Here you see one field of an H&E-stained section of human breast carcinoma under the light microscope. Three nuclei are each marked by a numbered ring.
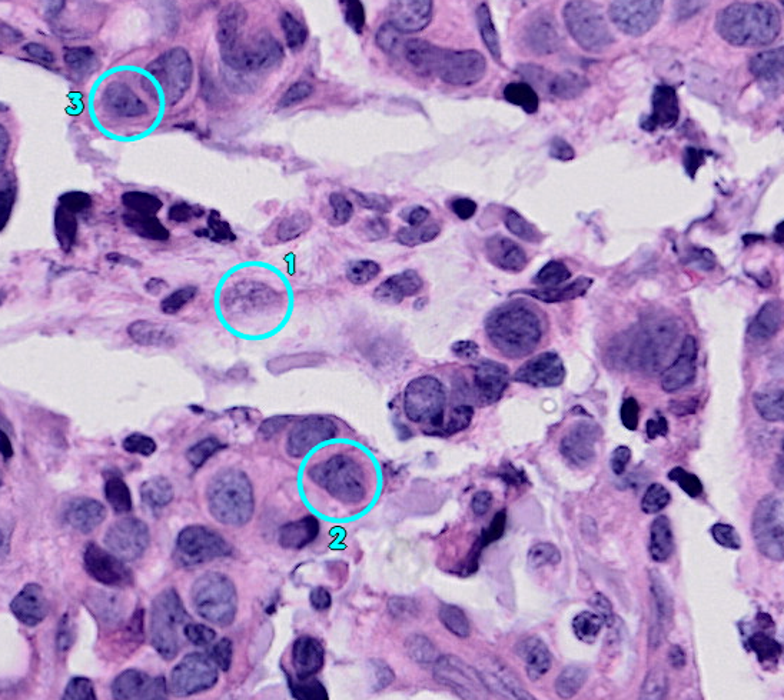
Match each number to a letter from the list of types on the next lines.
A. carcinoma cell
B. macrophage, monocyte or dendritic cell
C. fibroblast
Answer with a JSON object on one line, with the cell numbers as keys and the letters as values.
{"1": "C", "2": "A", "3": "A"}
